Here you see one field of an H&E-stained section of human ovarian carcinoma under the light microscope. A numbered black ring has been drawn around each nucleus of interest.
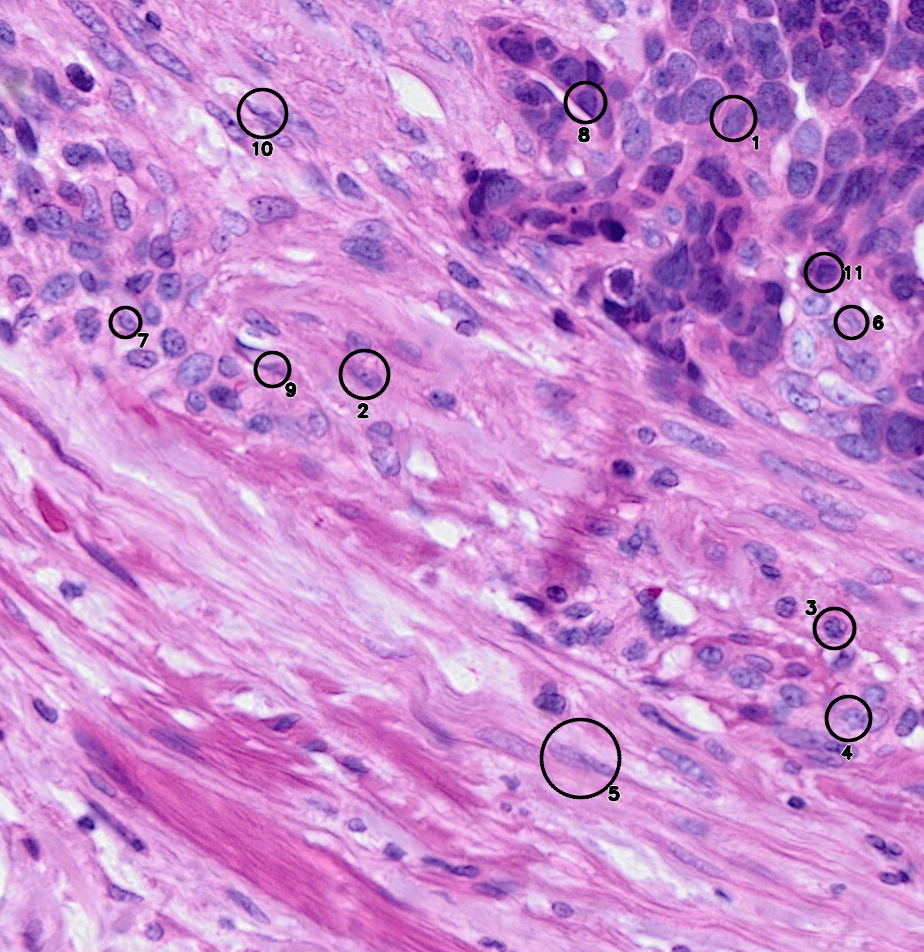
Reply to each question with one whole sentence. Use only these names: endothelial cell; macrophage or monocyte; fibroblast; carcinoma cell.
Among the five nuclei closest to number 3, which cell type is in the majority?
Around number 3, most of the five nearest nuclei are those of fibroblasts.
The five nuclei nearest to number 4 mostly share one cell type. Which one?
Around number 4, most of the five nearest nuclei are those of endothelial cells.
